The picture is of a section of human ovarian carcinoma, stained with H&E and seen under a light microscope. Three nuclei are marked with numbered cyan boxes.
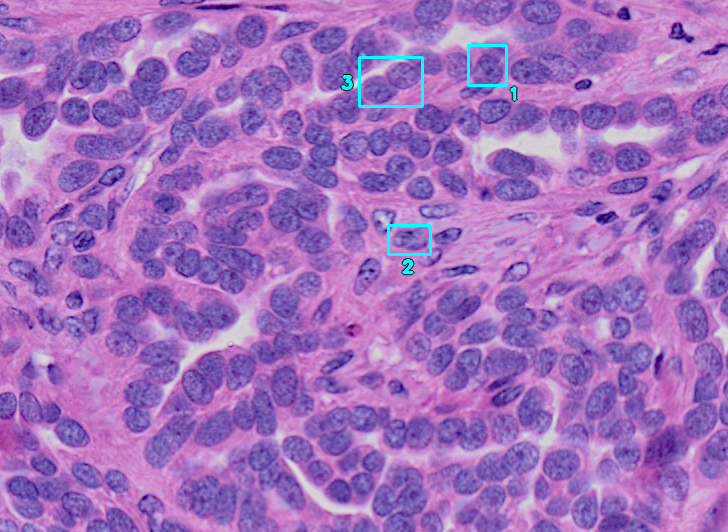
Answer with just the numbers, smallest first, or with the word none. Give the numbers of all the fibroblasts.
2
